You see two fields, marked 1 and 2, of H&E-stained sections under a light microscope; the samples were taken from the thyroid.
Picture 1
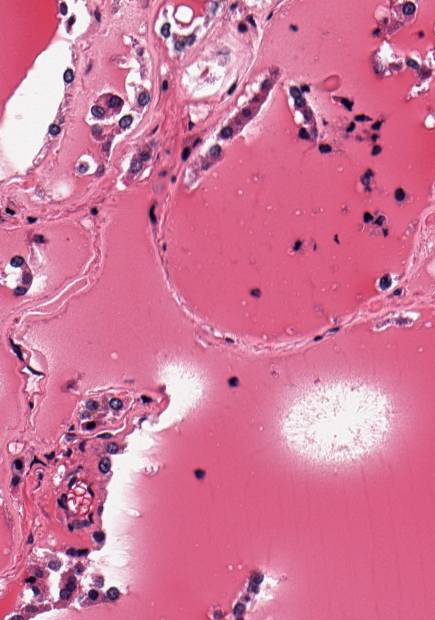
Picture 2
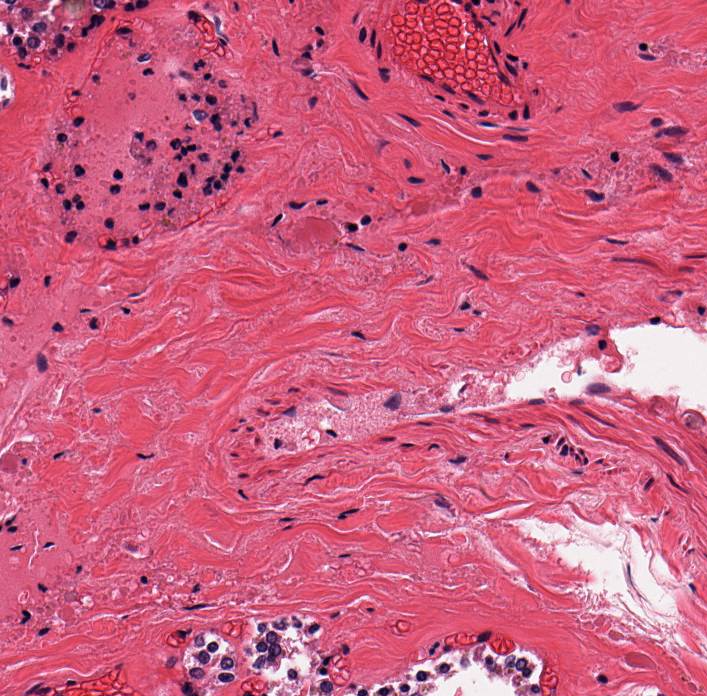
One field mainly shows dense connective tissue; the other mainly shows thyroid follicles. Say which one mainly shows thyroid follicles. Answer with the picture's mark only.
1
